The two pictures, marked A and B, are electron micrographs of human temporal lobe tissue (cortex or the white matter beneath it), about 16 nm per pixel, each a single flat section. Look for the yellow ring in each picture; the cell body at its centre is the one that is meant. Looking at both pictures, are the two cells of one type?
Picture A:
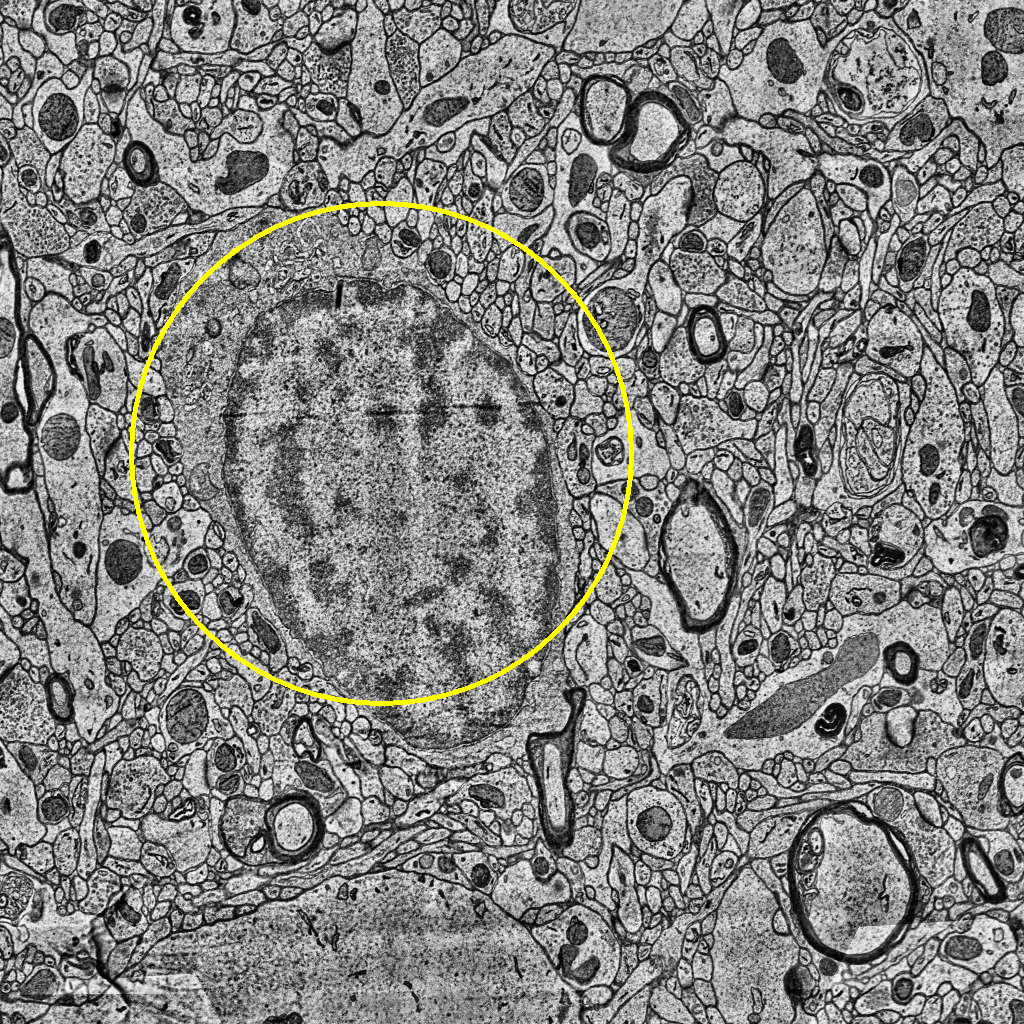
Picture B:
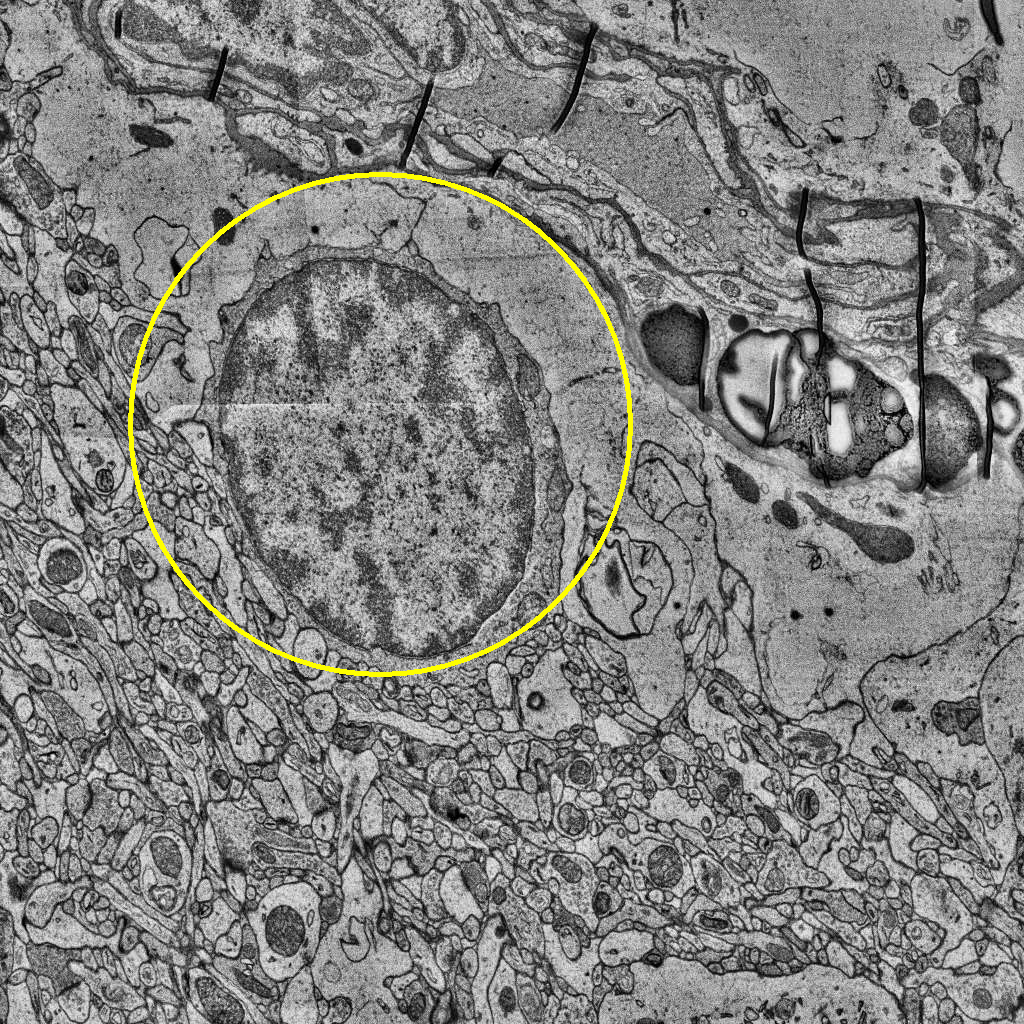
Yes, both are oligodendrocytes.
